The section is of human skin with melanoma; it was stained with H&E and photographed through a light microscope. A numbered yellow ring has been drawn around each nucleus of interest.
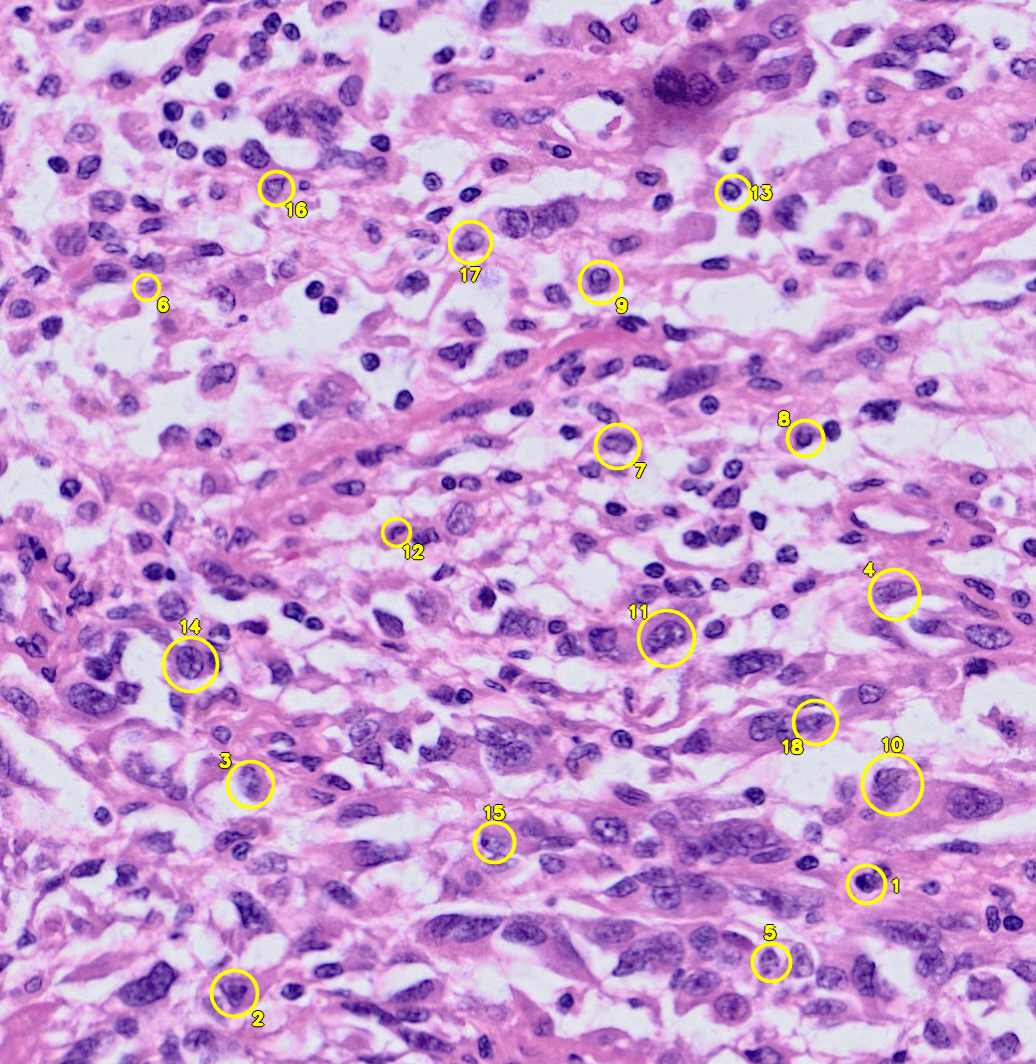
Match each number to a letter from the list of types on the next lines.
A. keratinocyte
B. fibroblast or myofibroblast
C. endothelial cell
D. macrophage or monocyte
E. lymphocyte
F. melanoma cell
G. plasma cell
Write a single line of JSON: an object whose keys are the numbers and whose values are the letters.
{"1": "E", "2": "F", "3": "F", "4": "F", "5": "F", "6": "D", "7": "D", "8": "D", "9": "D", "10": "F", "11": "F", "12": "D", "13": "E", "14": "F", "15": "F", "16": "D", "17": "D", "18": "F"}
